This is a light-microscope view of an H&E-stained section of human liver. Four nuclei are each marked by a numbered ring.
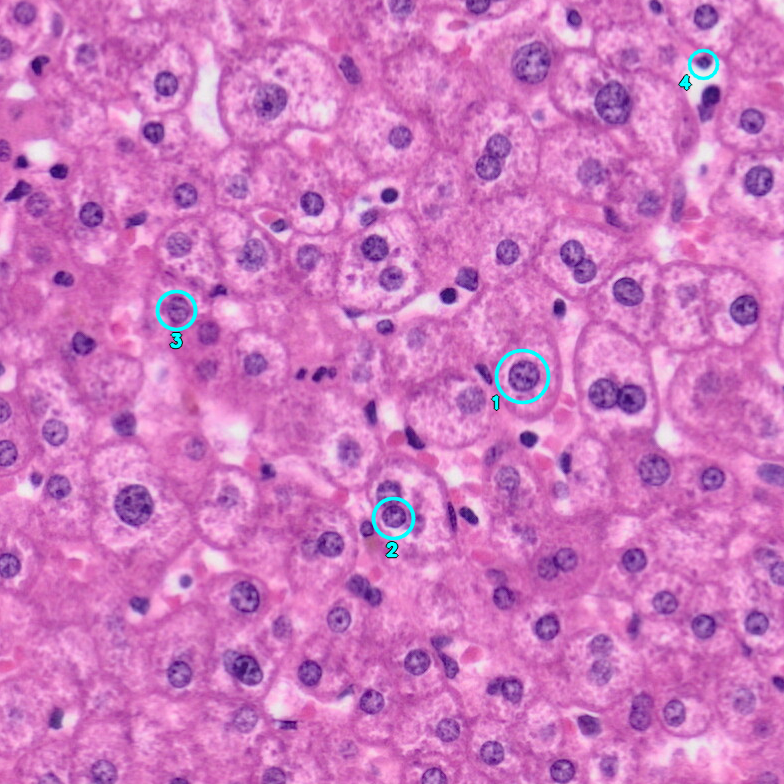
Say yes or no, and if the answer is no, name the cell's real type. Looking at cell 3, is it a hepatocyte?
Yes.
